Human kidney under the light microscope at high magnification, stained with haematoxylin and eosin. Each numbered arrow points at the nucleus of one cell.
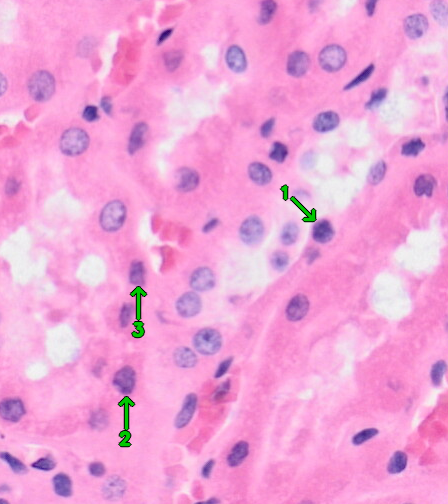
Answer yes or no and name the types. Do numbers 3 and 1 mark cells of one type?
No, listen: cell 3 is a proximal tubule cell and cell 1 is a loop of Henle or distal tubule cell.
